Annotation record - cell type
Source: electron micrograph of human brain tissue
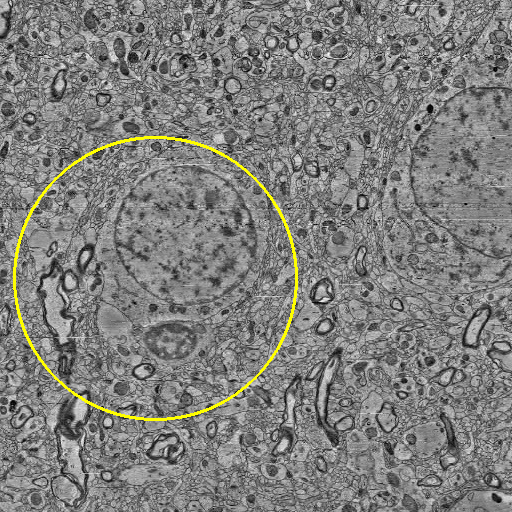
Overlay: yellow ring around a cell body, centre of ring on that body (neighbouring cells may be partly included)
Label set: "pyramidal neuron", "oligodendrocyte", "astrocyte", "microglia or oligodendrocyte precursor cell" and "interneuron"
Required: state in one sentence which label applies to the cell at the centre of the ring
This cell should be labelled as an interneuron.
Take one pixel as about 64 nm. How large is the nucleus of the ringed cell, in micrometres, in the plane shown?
The nucleus comes to roughly 9 micrometres across in this plane.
